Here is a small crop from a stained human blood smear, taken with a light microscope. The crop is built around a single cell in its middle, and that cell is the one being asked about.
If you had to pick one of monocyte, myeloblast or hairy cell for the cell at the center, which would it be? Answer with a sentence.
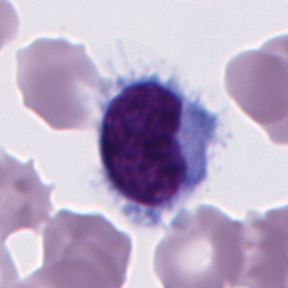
The cell occupying the middle of the crop is a hairy cell.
